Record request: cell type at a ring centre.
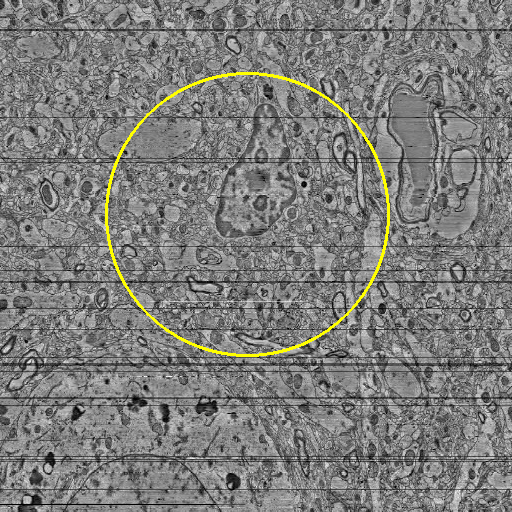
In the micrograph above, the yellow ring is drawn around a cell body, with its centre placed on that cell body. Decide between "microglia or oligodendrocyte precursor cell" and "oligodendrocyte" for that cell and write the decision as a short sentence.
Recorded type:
The cell centred in the yellow ring is a microglial cell or oligodendrocyte precursor cell.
